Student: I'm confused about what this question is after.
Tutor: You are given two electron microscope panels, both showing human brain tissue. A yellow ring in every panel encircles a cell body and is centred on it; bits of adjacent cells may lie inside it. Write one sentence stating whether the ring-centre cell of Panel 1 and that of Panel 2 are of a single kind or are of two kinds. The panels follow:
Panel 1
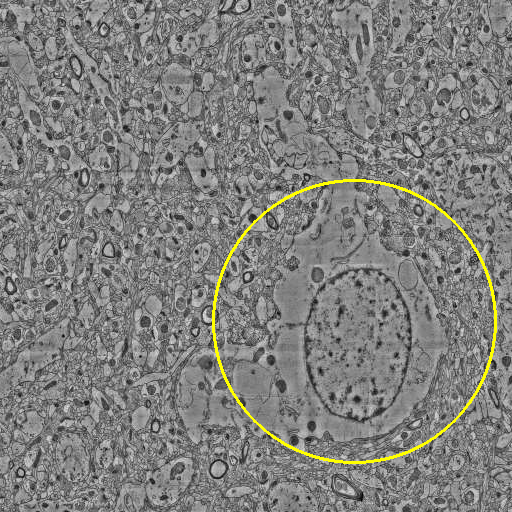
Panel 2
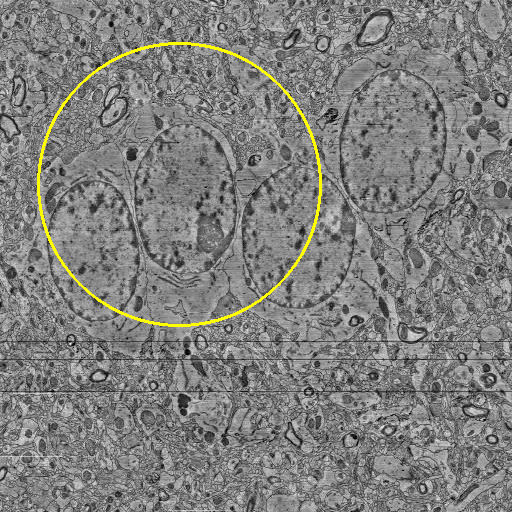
Here, the Panel 1 ring-centre cell and the Panel 2 ring-centre cell are of a single kind.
